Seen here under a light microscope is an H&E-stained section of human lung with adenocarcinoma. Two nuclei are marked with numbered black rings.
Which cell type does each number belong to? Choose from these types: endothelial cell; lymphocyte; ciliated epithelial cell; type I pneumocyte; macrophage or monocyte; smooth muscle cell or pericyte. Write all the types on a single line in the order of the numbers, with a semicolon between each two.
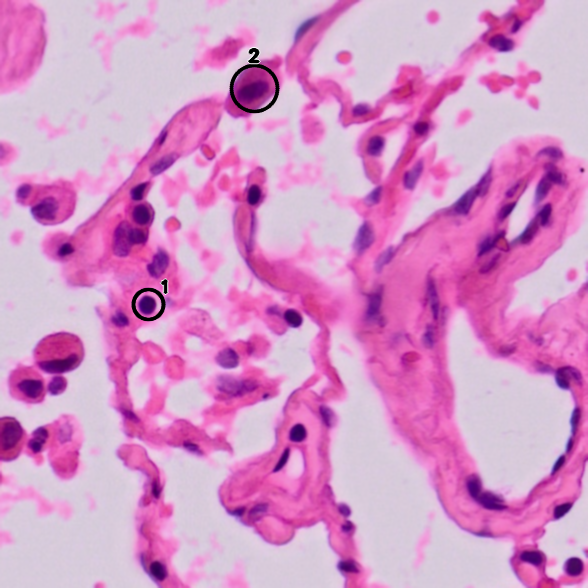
lymphocyte; macrophage or monocyte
